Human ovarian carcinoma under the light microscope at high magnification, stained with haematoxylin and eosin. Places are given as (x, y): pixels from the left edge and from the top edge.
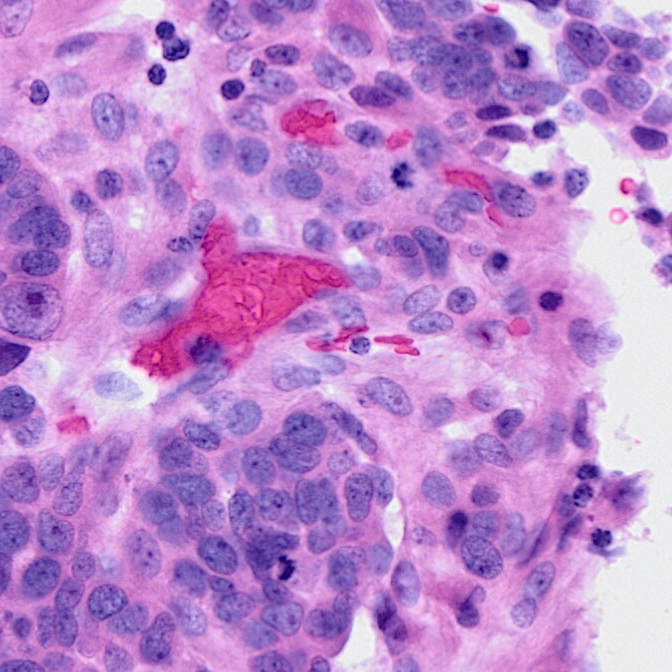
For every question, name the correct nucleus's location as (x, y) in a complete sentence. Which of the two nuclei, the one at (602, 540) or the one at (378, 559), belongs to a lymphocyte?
Belonging to a lymphocyte is the nucleus at (602, 540).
